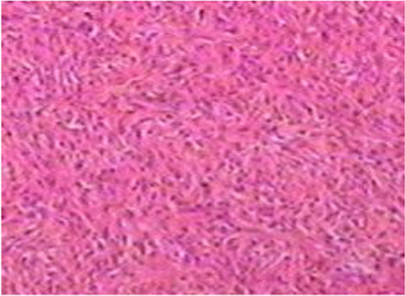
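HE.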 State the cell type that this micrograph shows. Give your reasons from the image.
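Densely packed cells with elongated, spindle-shaped nuclei. Cells run in interlacing bundles through pink stroma.
Answer: fusiform cells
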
